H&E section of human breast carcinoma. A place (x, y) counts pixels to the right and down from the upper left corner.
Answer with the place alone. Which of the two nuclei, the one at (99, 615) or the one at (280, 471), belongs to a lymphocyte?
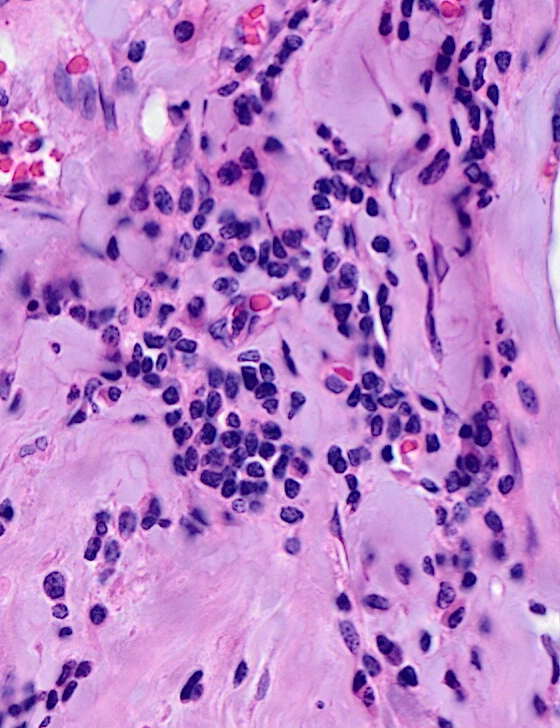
(280, 471)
